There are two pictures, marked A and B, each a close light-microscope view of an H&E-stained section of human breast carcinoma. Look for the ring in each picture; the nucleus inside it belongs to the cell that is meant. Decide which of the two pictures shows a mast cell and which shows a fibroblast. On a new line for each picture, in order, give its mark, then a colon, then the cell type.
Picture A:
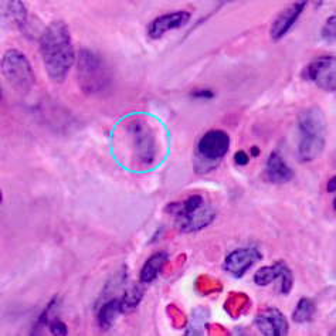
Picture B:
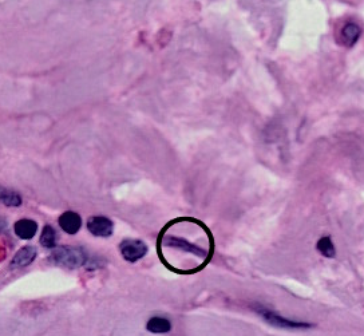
A: mast cell
B: fibroblast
